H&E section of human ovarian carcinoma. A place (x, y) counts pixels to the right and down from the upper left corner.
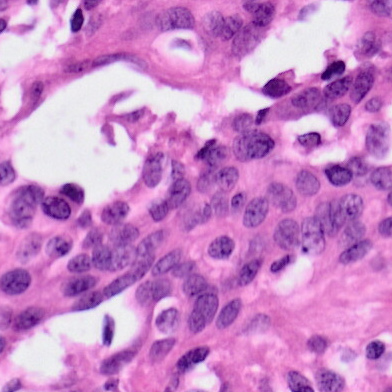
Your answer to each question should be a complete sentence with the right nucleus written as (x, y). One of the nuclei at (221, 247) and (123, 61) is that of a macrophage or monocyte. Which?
Housed in a macrophage or monocyte is the nucleus at (221, 247), not the other one.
